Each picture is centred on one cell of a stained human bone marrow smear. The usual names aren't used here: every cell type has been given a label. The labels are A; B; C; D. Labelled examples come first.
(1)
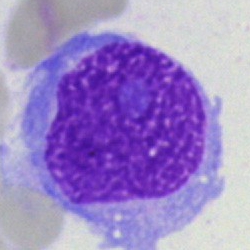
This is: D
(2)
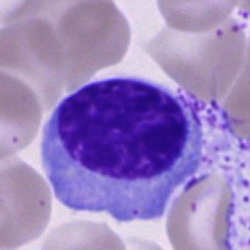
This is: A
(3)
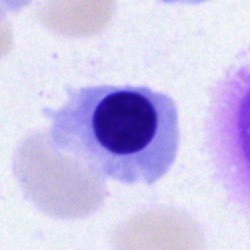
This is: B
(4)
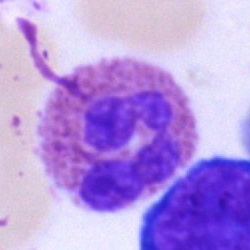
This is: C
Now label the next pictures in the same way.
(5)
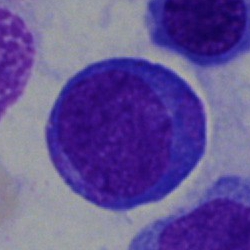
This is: D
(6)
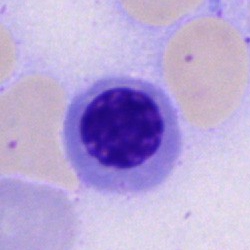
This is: B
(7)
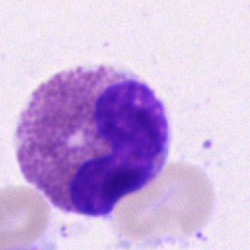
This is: C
